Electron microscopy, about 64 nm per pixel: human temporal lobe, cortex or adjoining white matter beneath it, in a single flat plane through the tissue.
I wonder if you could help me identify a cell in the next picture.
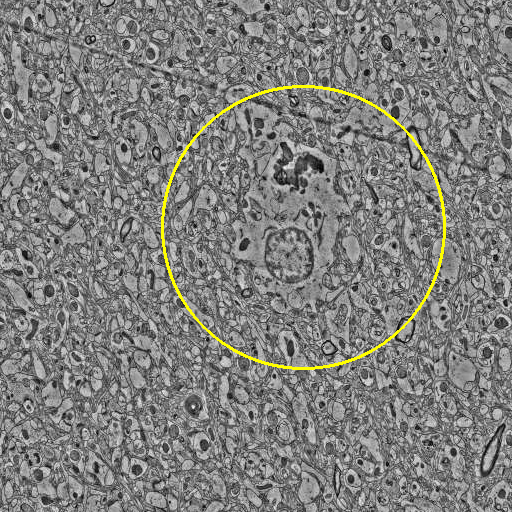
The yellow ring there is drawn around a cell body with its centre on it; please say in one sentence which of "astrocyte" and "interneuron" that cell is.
The yellow ring is centred on an astrocyte.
